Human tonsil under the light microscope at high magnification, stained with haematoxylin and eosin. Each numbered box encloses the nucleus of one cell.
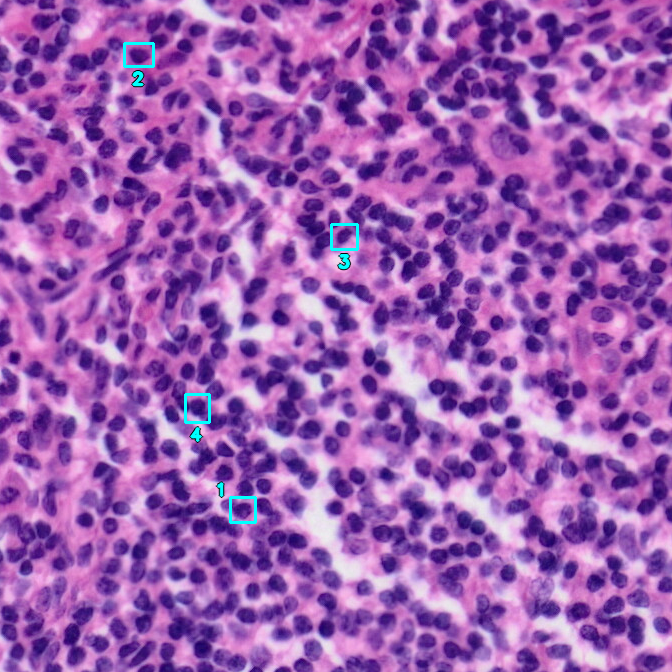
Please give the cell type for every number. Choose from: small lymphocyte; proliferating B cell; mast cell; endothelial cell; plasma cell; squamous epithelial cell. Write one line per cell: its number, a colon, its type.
1: small lymphocyte
2: plasma cell
3: small lymphocyte
4: small lymphocyte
